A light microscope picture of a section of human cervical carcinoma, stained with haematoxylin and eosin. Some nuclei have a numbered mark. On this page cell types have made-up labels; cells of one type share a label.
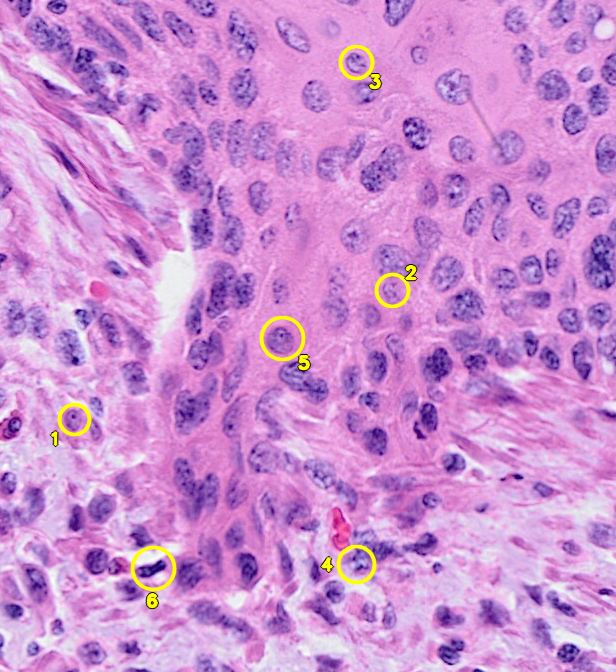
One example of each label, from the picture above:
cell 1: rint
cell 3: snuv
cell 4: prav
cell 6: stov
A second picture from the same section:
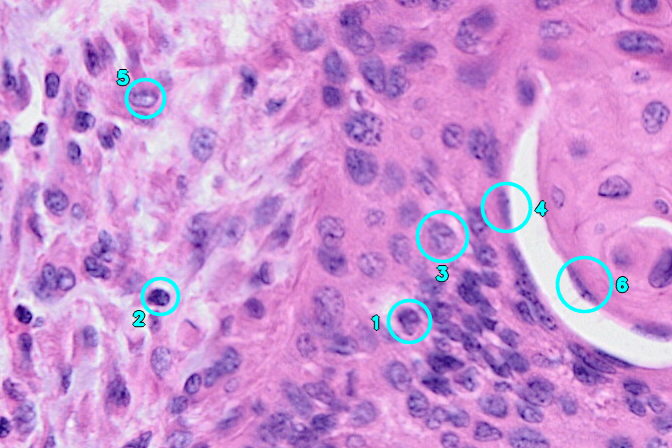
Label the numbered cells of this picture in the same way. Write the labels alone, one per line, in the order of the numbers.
snuv
stov
snuv
snuv
prav
snuv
